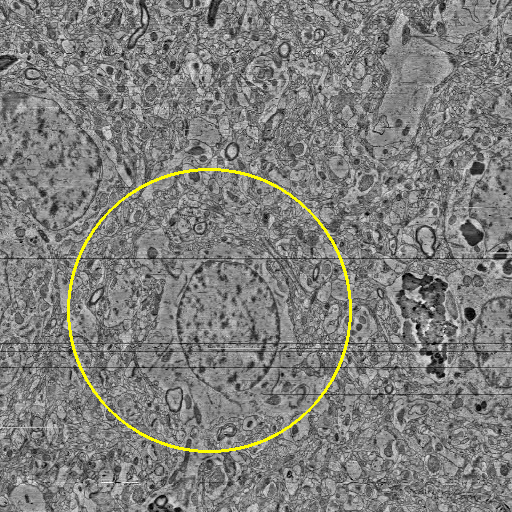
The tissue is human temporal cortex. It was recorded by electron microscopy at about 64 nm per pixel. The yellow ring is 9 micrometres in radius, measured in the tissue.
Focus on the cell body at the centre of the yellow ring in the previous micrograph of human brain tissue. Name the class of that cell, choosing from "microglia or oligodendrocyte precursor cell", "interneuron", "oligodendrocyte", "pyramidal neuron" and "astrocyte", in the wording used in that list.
astrocyte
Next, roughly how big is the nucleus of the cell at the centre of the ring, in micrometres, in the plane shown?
In this plane, approximately 9 by 6 micrometers.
